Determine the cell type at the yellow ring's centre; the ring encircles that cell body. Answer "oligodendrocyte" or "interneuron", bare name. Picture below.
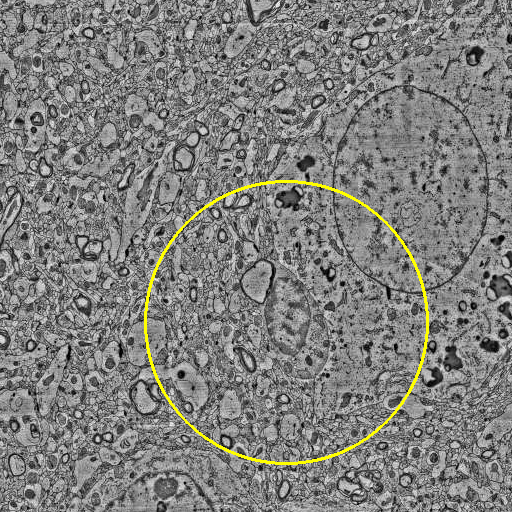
oligodendrocyte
